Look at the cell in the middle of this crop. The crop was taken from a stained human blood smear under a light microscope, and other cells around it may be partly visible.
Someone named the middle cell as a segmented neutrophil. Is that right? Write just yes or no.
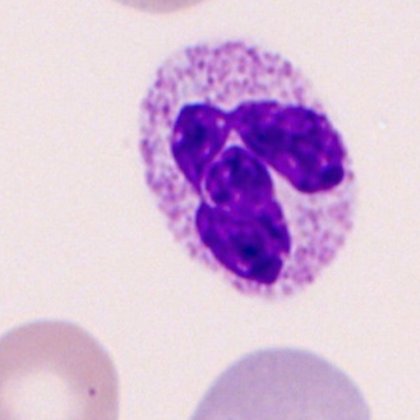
yes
